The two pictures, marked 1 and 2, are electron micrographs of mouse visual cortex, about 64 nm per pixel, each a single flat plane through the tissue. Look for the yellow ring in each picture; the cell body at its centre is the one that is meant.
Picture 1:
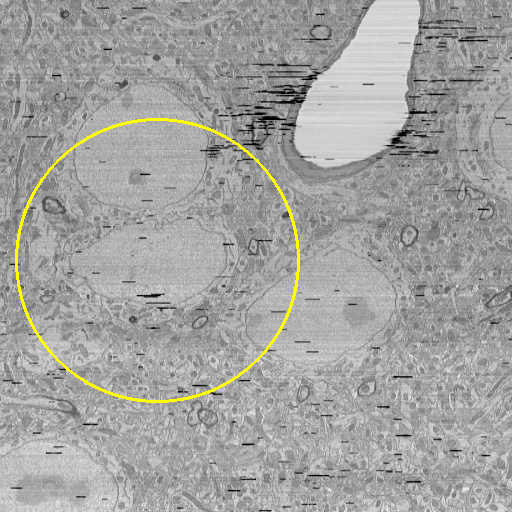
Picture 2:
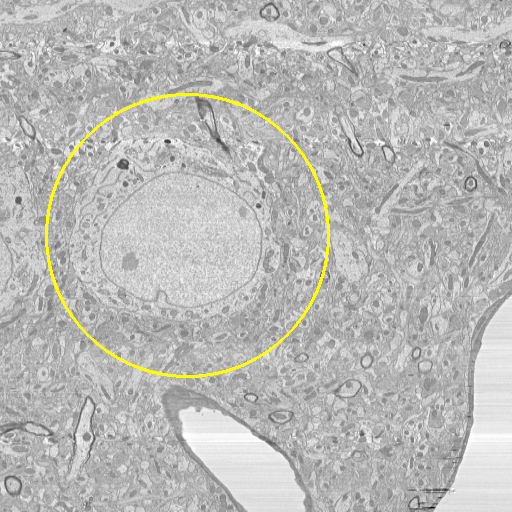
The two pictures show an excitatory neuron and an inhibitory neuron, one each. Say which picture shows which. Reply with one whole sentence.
Picture 1 is of an inhibitory neuron, and picture 2 is of an excitatory neuron.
